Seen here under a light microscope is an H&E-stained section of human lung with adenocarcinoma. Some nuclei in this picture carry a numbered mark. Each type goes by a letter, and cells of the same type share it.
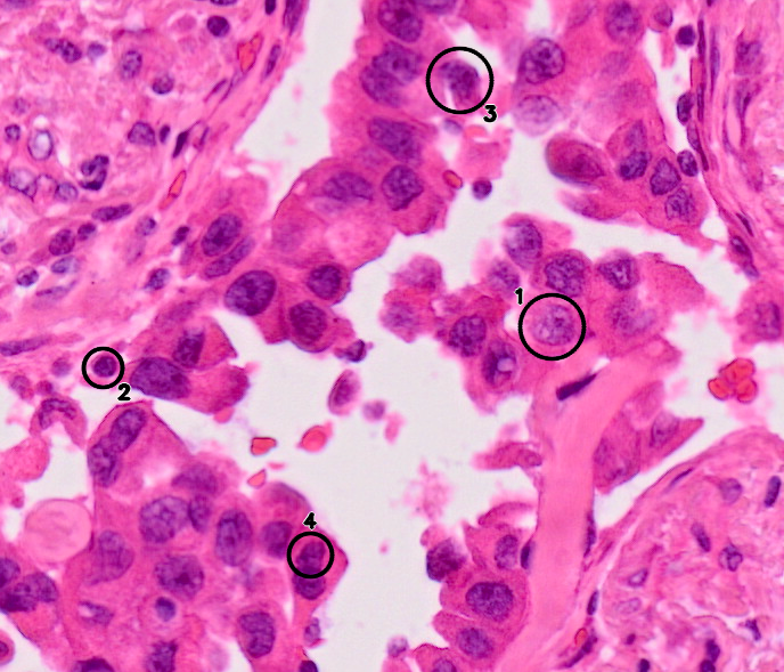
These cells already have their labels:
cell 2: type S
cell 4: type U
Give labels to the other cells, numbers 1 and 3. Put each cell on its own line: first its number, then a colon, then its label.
1: type U
3: type U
